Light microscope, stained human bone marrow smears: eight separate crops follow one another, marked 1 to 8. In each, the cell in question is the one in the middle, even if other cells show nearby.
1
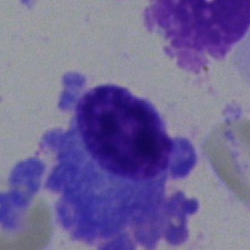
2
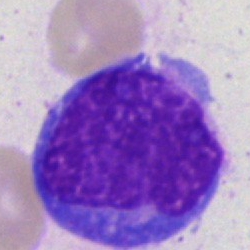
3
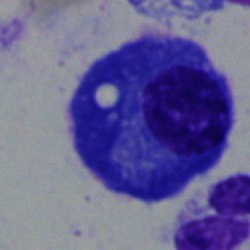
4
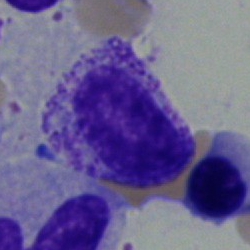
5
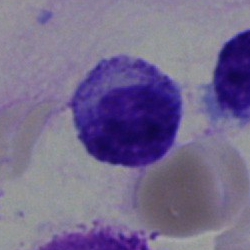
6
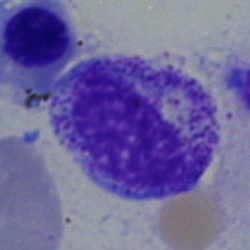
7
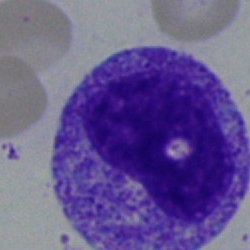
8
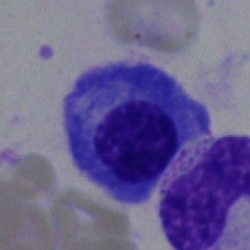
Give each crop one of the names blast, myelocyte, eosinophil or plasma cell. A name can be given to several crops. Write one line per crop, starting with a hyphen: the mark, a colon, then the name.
- 1: plasma cell
- 2: blast
- 3: plasma cell
- 4: myelocyte
- 5: myelocyte
- 6: myelocyte
- 7: myelocyte
- 8: plasma cell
